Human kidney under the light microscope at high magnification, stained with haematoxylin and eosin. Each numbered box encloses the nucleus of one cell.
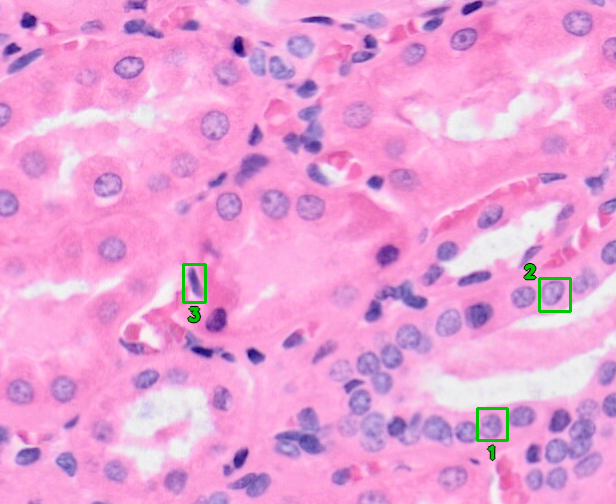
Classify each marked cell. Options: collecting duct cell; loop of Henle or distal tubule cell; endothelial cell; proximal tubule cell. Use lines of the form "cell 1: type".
cell 1: collecting duct cell
cell 2: collecting duct cell
cell 3: endothelial cell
